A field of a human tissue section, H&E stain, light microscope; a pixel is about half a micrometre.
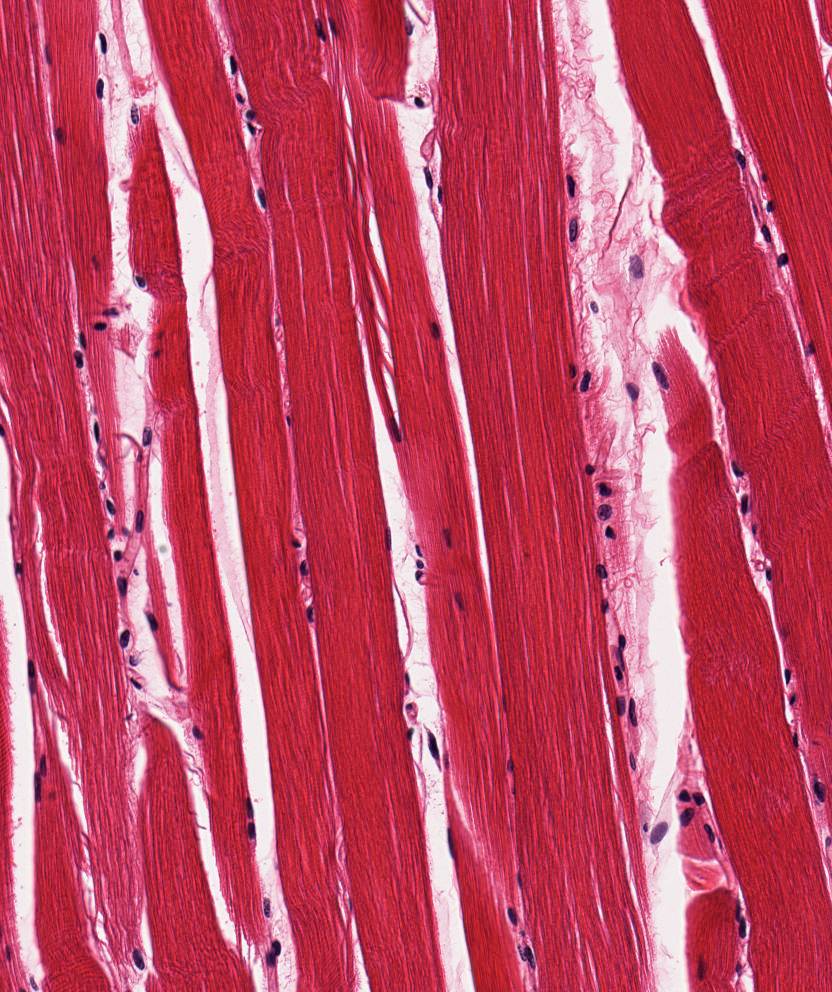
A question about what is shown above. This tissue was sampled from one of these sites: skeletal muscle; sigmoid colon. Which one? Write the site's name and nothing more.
skeletal muscle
